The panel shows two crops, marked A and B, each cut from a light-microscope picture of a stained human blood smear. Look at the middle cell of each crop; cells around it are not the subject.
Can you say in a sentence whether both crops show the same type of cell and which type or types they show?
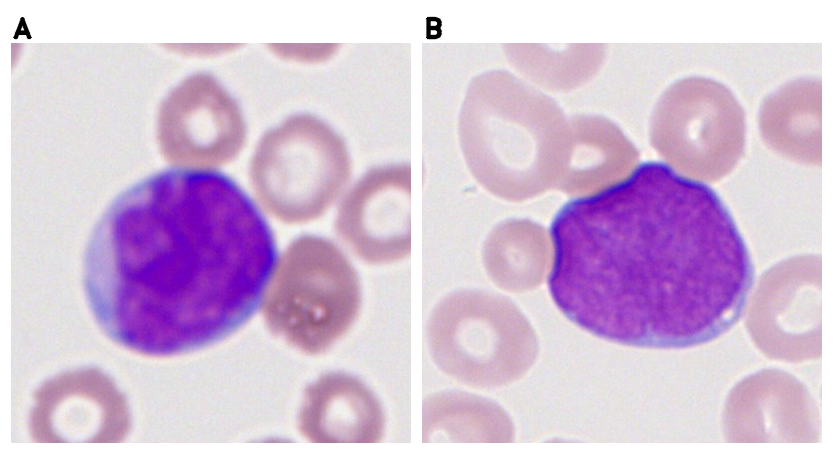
Yes, the cells that both crops show at the centre are myeloblasts.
